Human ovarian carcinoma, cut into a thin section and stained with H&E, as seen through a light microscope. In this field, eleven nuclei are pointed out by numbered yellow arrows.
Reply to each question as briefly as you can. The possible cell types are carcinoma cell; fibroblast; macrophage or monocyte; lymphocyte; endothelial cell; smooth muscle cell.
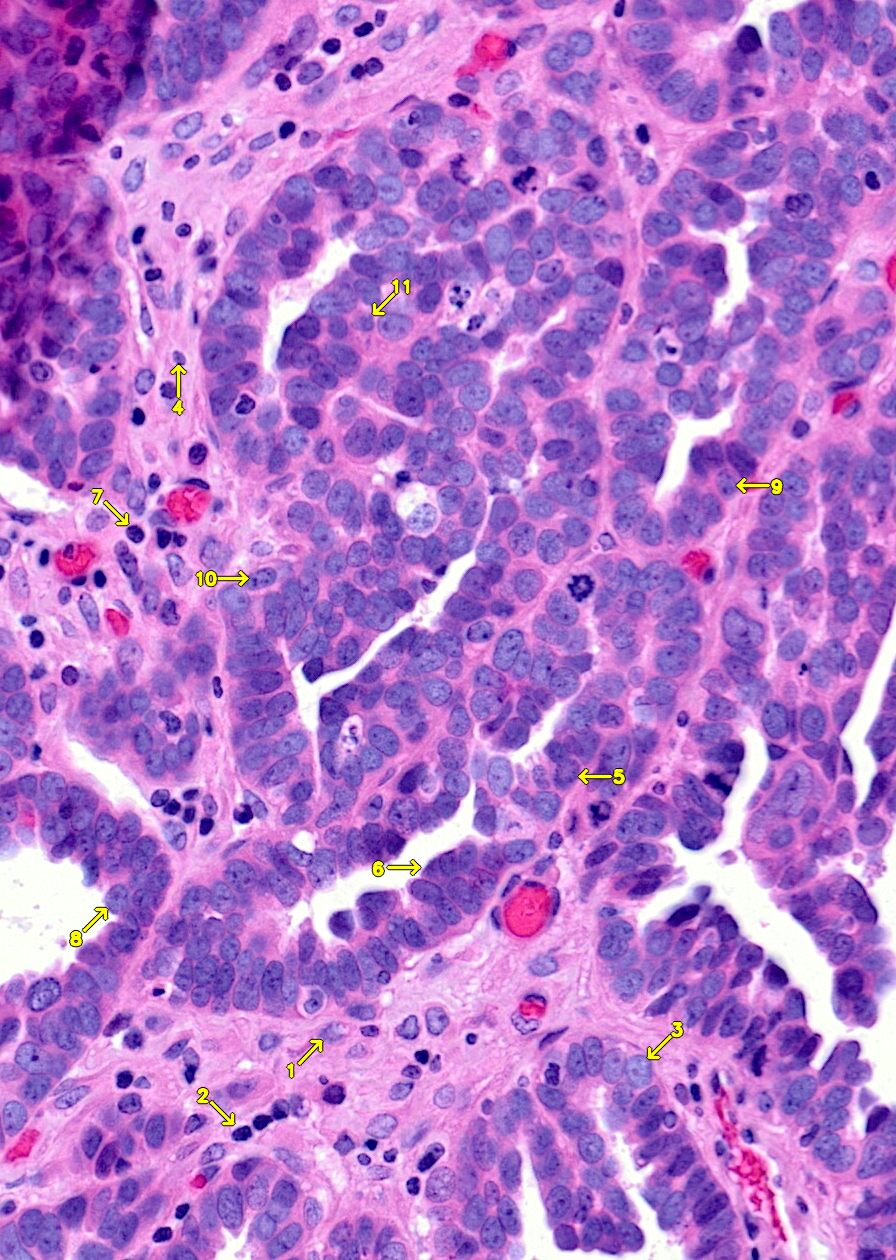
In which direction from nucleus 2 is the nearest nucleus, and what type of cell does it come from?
a lymphocyte; above and to the right of nucleus 2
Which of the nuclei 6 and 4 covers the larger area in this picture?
6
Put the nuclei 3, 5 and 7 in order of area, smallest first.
7, 5, 3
